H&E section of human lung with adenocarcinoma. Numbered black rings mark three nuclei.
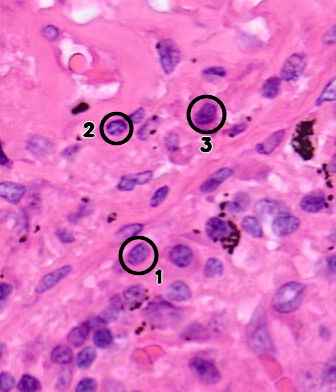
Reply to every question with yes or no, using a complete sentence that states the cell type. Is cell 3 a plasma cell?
Yes, cell 3 among the marked cells is a plasma cell.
